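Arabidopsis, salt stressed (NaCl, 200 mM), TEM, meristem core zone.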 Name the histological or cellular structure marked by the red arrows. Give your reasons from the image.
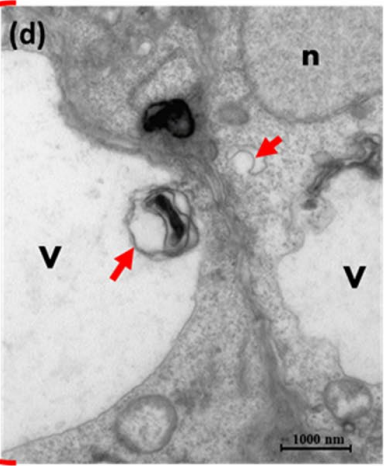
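The arrows point to small round membrane-bounded bodies. One body at the vacuole edge contains dark membranous material. Another small pale body lies in the cytoplasm. So: autophagosome like structures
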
